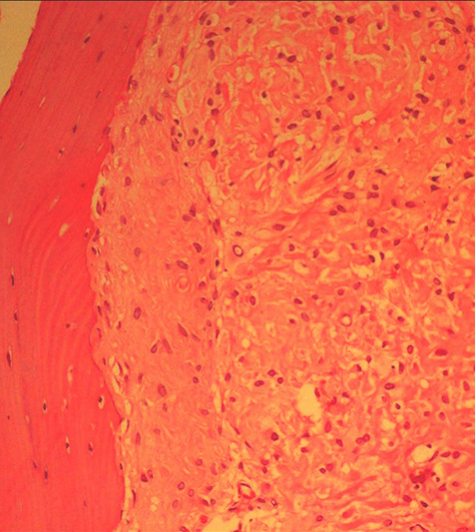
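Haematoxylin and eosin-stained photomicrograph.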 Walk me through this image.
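On the left lies a band of bone trabecula, stained smooth deep pink, with scattered small nuclei sitting in lacunae and no row of lining bone-forming cells along its edge. Beside it, filling most of the field, is a cellular fibrous tissue made of spindle to polygonal cells set in a pale pink, wispy collagenous background. Their nuclei are small, oval to elongated and fairly uniform, without marked pleomorphism.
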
